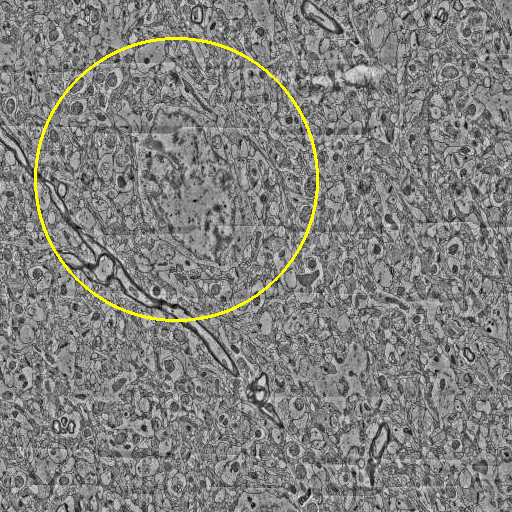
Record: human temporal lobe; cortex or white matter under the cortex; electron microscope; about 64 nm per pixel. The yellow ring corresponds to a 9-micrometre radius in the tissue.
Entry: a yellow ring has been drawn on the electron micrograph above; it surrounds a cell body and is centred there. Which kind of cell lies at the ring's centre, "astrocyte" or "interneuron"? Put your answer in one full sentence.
The cell sitting at the ring's centre is an interneuron in the micrograph above.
